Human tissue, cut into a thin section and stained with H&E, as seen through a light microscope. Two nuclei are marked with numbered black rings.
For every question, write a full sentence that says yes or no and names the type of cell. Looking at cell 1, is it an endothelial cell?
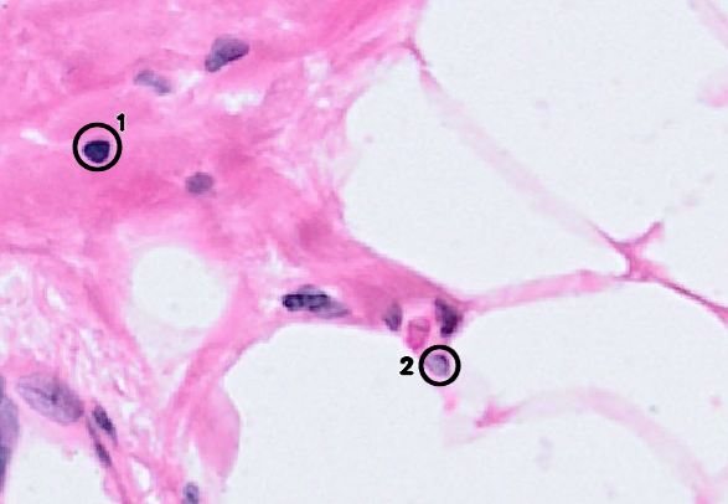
No, the marked cell 1 is not an endothelial cell, being instead a lymphocyte.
